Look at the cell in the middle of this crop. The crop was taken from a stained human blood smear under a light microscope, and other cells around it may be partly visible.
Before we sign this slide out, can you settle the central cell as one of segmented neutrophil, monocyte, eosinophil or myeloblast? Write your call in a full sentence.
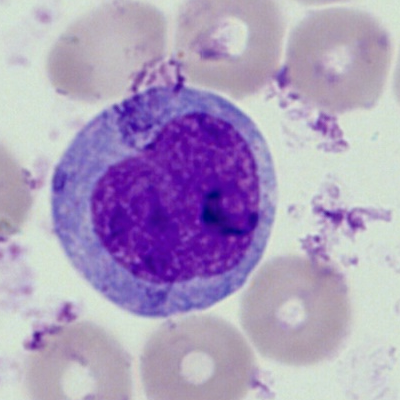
What the crop centres on is a myeloblast.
